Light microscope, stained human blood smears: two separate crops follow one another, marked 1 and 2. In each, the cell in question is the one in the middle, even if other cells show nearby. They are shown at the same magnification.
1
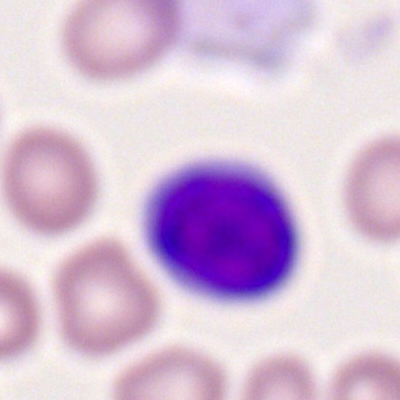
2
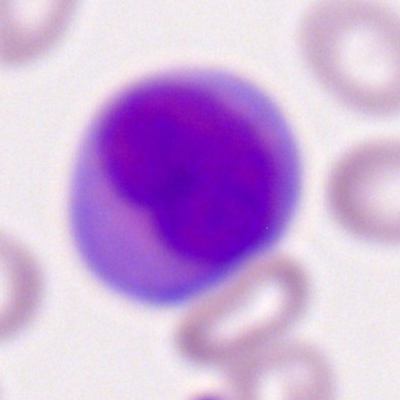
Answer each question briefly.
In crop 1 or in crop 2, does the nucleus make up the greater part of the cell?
1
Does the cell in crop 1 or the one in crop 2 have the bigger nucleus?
2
